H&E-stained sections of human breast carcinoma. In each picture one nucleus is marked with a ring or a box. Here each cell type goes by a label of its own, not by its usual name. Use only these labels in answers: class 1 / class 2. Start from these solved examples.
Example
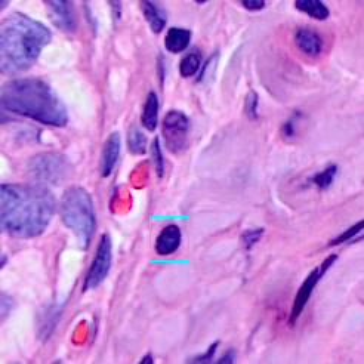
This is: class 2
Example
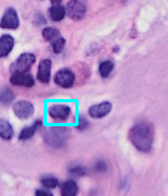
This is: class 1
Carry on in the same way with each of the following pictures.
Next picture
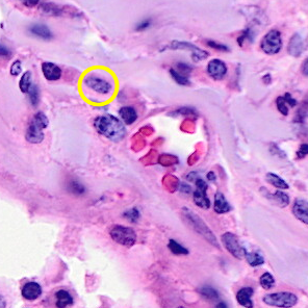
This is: class 2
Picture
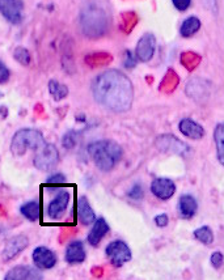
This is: class 1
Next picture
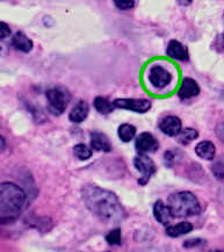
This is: class 1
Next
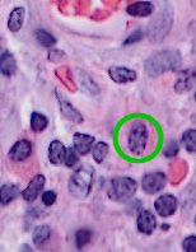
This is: class 2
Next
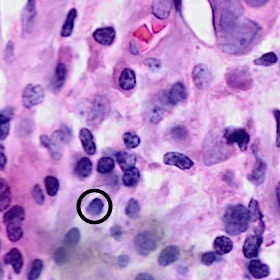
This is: class 1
